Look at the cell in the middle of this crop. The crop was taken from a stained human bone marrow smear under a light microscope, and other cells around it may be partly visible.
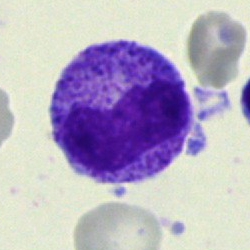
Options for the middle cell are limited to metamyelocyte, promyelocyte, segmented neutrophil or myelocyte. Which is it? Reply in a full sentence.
Among the cells in view, the one in the middle is a metamyelocyte.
